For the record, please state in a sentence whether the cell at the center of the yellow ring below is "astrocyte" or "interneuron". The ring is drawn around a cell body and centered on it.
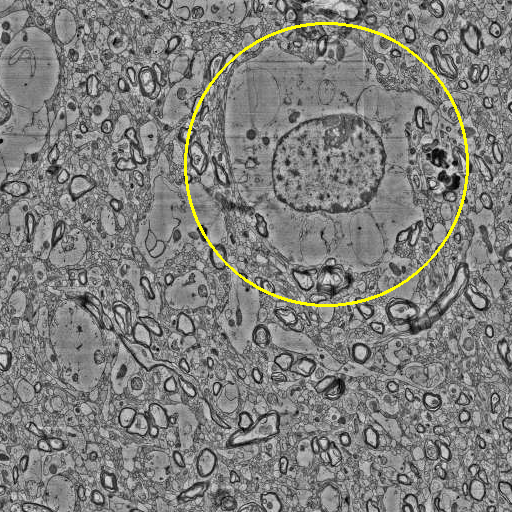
The cell at the ring's center is an astrocyte.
